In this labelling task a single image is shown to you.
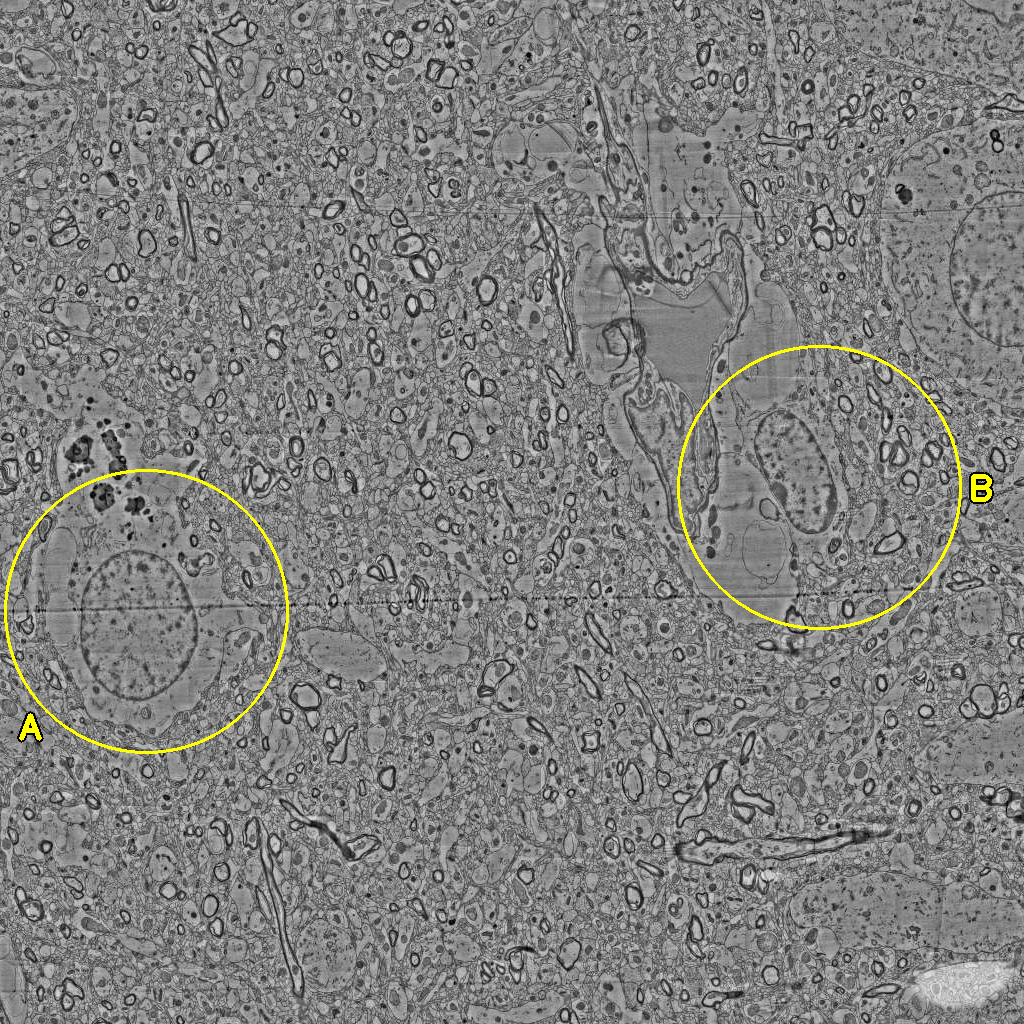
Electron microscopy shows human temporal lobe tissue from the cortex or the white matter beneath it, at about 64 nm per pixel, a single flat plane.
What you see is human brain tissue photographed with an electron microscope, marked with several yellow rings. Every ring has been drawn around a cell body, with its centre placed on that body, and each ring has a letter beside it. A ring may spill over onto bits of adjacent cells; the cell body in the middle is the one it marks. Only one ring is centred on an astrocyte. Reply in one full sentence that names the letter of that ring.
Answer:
The ring centred on the cell asked for is the one marked A.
